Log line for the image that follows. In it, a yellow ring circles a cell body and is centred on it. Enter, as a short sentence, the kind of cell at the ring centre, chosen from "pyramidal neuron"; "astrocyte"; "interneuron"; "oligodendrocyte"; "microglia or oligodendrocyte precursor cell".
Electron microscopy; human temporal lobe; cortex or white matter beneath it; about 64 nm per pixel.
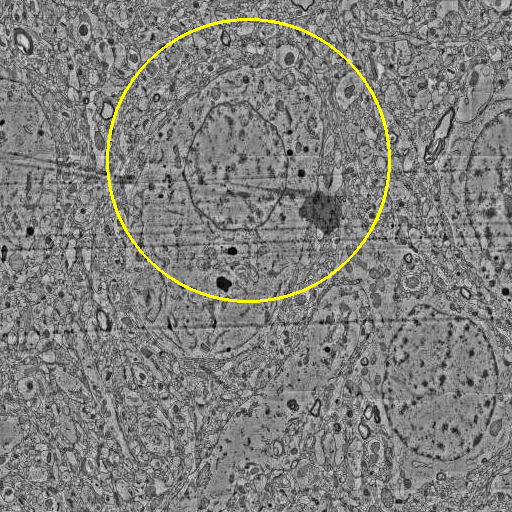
The ring centre is occupied by a pyramidal neuron.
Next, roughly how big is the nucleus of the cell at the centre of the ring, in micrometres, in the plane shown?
The ringed cell's nucleus measures approximately 8 by 7 micrometres in this plane.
